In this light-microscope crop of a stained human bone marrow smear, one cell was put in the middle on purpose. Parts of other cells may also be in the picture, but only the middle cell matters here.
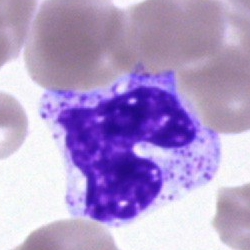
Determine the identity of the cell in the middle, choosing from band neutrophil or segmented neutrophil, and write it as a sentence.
Classified as a band neutrophil is the cell in the middle of this crop.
